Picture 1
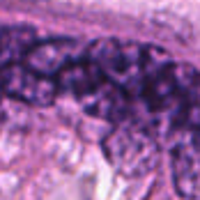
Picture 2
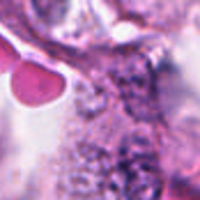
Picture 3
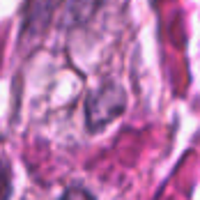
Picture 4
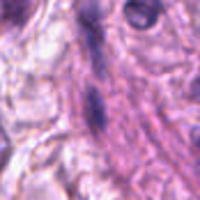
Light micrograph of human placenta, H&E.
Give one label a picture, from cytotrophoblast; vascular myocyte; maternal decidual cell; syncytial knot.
Picture 1: syncytial knot
Picture 2: cytotrophoblast
Picture 3: maternal decidual cell
Picture 4: vascular myocyte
